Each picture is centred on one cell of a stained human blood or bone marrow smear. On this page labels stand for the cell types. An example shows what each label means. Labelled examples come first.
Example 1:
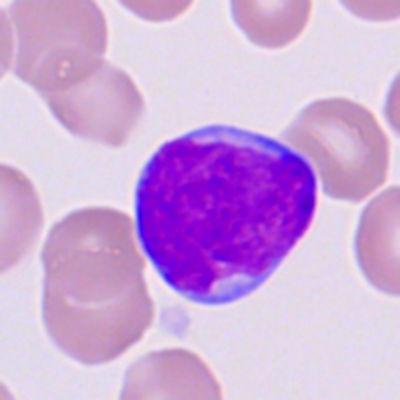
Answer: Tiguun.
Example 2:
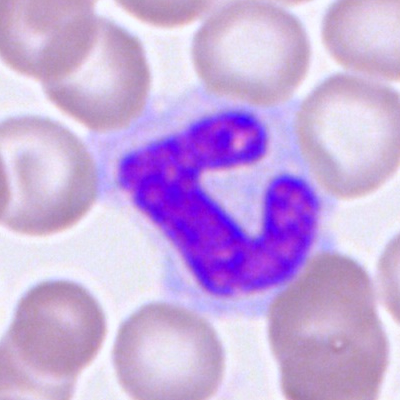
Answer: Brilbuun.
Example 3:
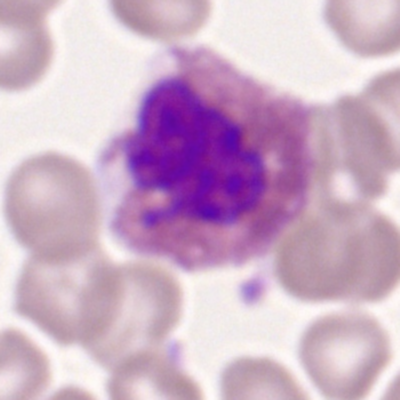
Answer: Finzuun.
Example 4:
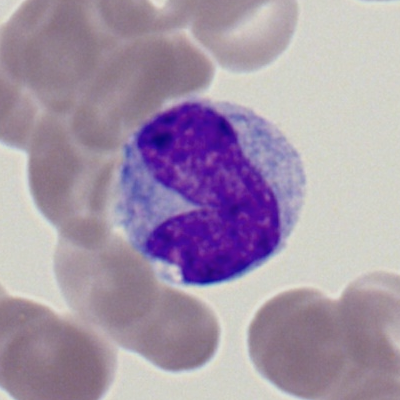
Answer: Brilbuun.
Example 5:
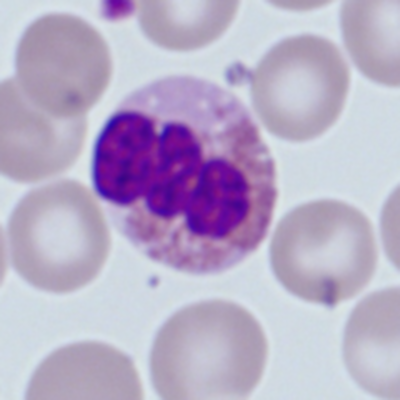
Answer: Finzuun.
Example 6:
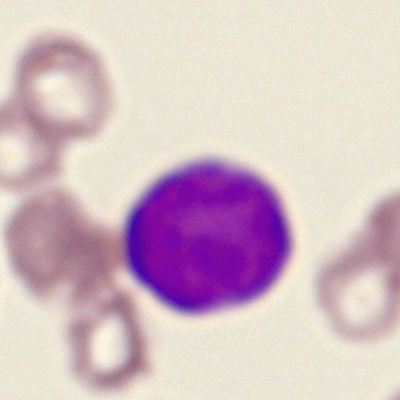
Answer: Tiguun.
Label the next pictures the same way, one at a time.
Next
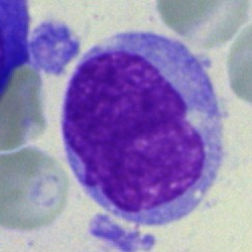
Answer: Brilbuun.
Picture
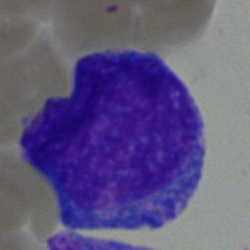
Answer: Tiguun.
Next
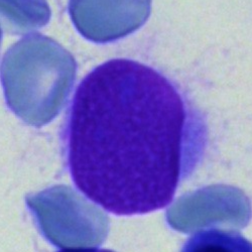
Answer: Tiguun.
